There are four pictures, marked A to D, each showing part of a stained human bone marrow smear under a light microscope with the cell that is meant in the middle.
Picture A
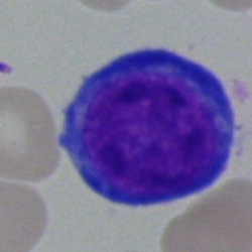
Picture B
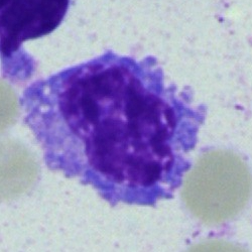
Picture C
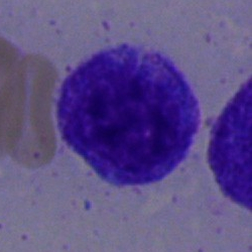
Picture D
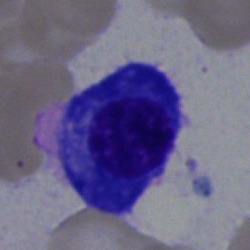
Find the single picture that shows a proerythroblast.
A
